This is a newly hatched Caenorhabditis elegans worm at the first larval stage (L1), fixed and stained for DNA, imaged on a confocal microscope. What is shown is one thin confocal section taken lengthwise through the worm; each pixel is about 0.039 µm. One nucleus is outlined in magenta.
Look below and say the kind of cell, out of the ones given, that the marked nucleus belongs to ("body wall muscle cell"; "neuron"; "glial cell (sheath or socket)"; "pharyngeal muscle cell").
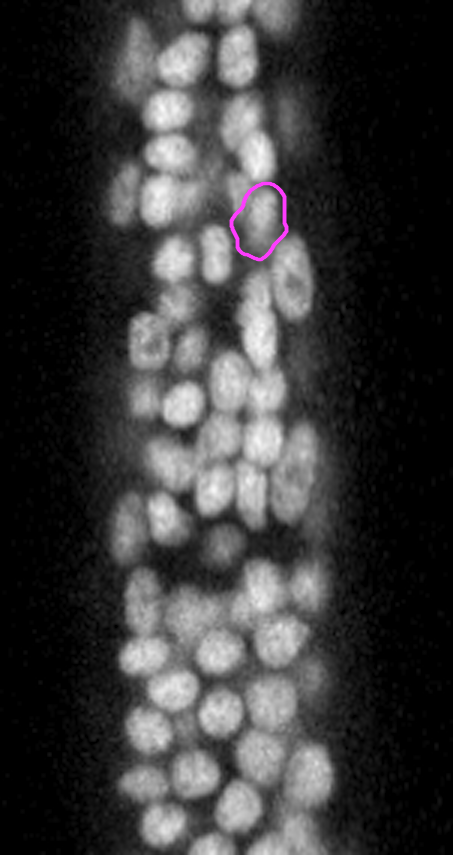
glial cell (sheath or socket)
